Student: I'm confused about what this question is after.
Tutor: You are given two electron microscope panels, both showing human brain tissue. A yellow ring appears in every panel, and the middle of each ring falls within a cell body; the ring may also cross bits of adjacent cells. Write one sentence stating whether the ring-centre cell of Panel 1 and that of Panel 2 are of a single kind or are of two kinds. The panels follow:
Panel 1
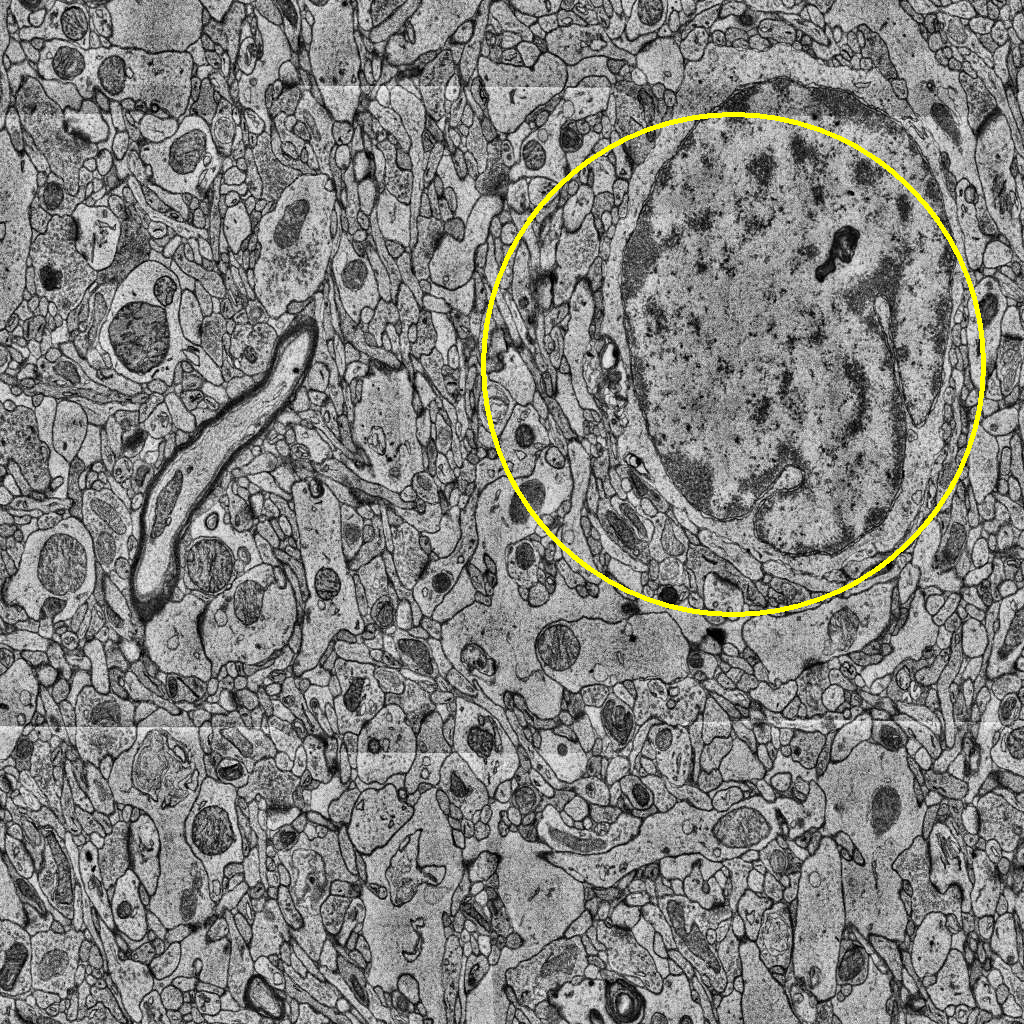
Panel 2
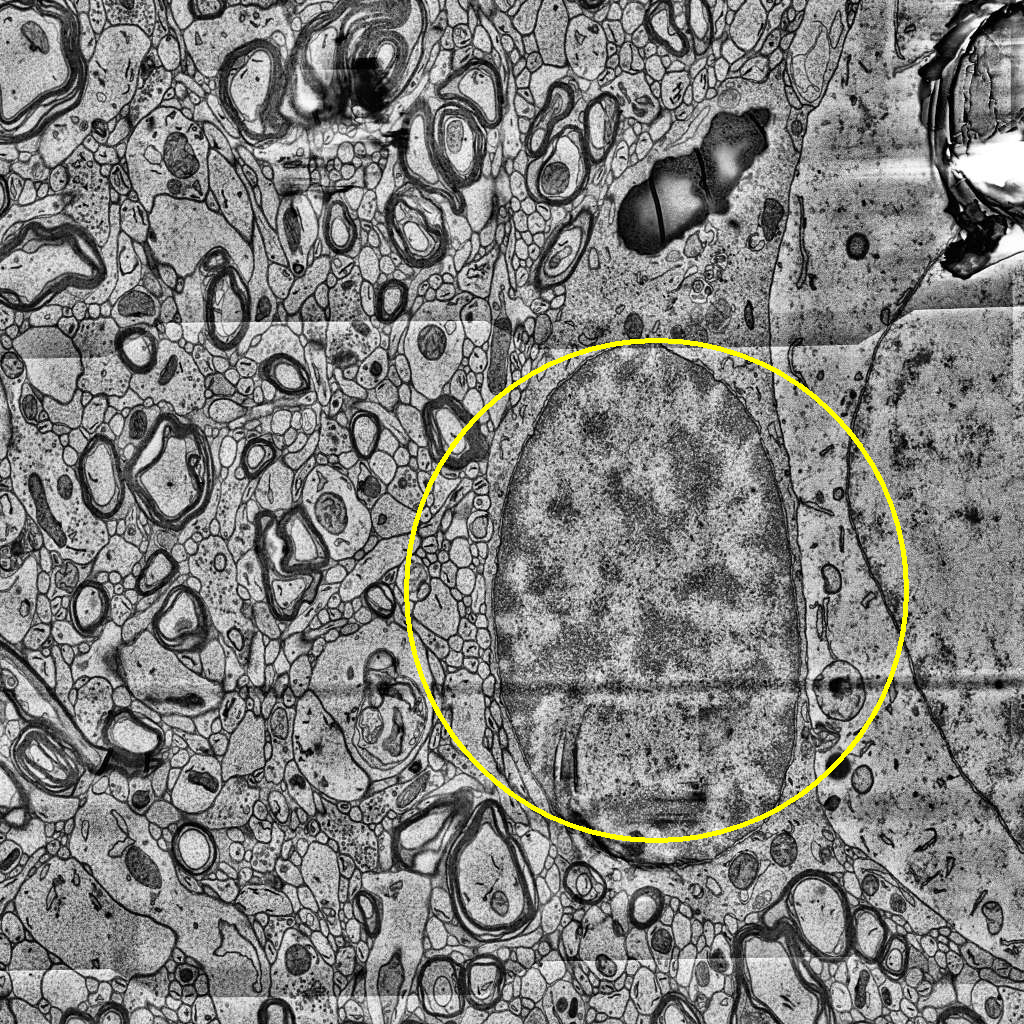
Here, the Panel 1 ring-centre cell and the Panel 2 ring-centre cell are of two kinds.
